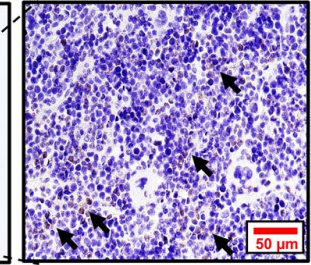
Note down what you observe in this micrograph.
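The cells are packed closely with little visible cytoplasm, and small pale spaces are scattered among them. The brown cells are scattered singly or in small groups rather than forming a layer.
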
